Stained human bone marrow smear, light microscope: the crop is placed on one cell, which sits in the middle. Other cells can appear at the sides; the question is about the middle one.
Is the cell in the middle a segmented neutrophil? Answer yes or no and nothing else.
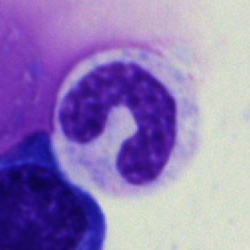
no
